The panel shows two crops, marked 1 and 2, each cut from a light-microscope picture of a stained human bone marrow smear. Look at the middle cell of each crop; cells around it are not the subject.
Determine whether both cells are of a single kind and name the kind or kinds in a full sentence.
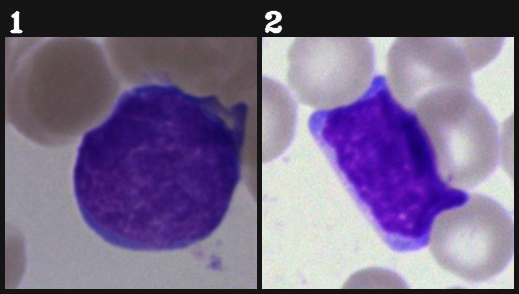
Yes, both crops show blasts as the central cells.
